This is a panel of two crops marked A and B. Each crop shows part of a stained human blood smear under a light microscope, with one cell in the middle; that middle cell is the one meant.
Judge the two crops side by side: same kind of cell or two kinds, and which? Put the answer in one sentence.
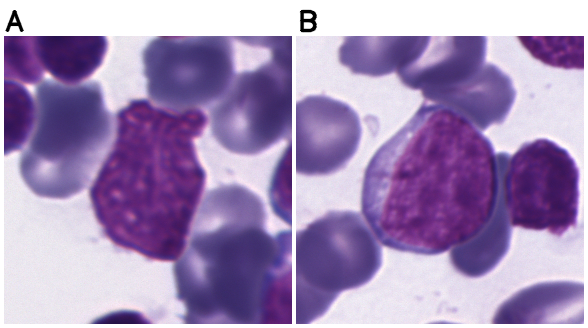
No, crop A shows a smudge cell, and crop B, by contrast, shows a myeloblast.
